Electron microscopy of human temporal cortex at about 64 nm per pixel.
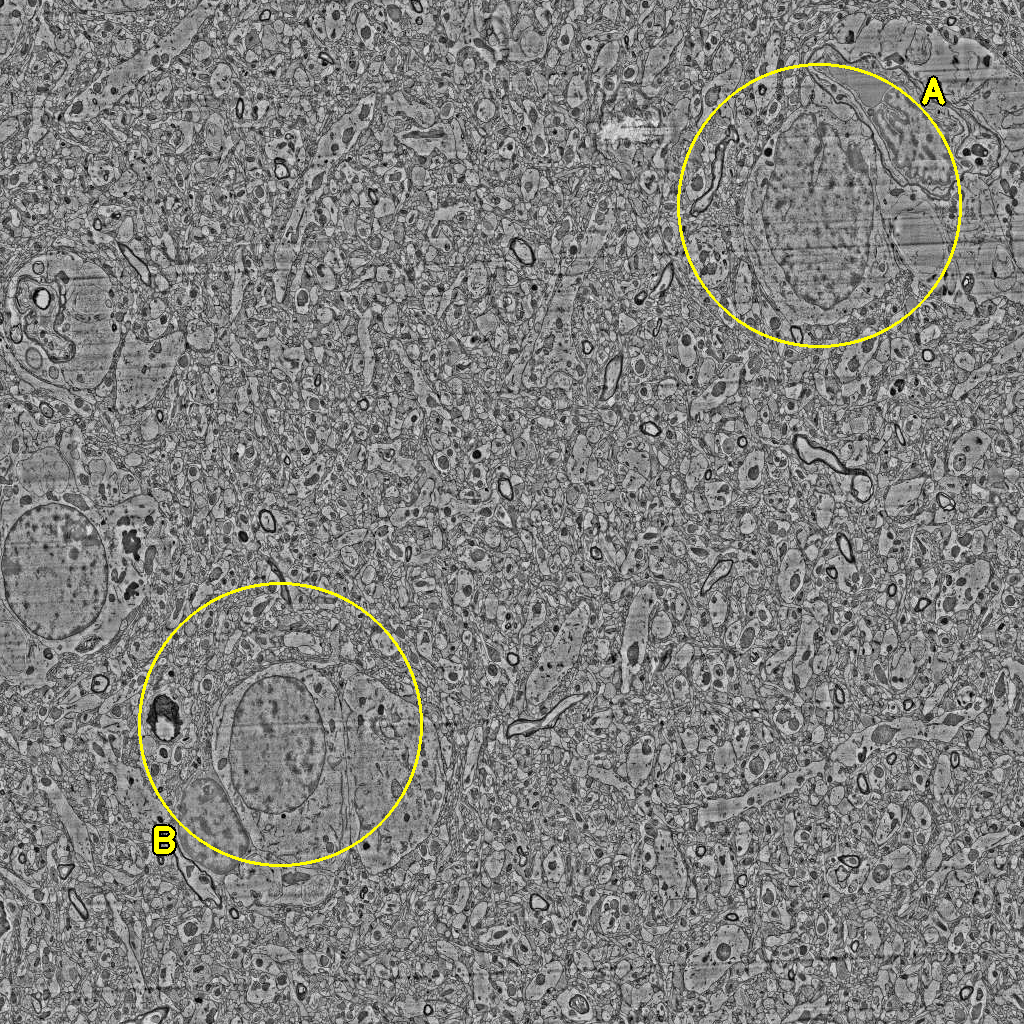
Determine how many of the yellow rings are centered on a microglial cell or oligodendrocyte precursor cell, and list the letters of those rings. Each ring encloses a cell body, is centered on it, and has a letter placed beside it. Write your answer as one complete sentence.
Since no ring is centred on a microglial cell or oligodendrocyte precursor cell, the count of such rings is zero.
